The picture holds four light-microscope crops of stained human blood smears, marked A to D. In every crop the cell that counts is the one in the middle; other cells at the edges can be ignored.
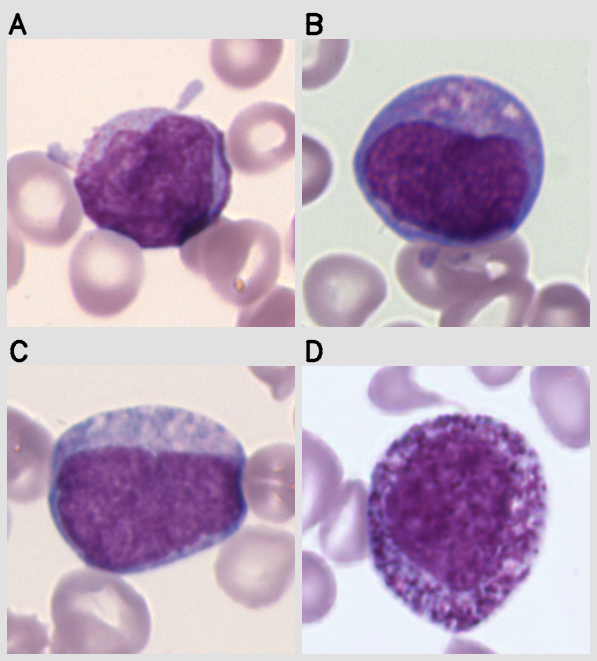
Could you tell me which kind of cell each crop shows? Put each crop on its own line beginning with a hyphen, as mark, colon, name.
- A: atypical promyelocyte
- B: promyelocyte
- C: promyelocyte
- D: promyelocyte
